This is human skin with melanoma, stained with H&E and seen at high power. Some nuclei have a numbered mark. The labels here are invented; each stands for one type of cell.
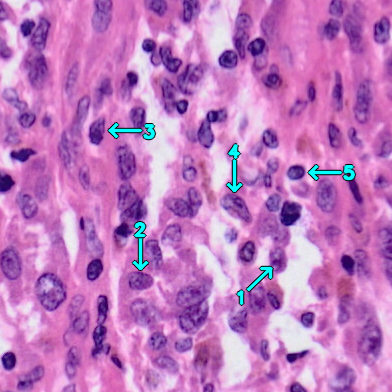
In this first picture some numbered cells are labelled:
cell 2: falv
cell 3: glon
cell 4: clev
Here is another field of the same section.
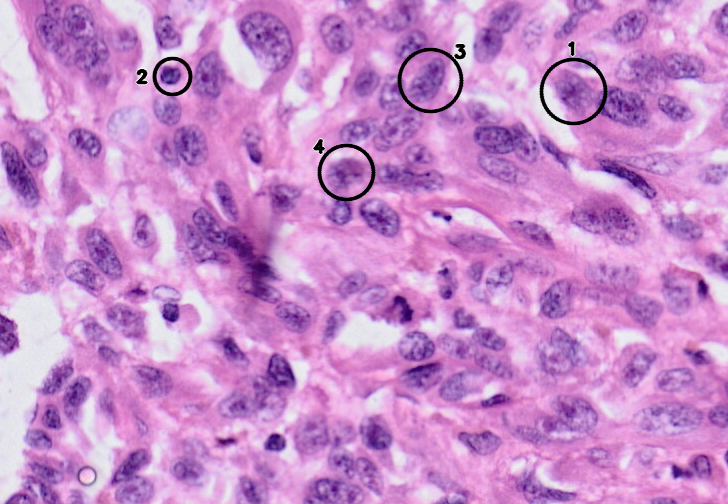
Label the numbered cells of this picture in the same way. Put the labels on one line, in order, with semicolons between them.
falv; glon; falv; falv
